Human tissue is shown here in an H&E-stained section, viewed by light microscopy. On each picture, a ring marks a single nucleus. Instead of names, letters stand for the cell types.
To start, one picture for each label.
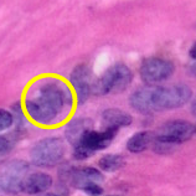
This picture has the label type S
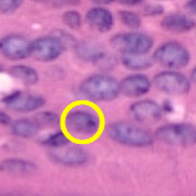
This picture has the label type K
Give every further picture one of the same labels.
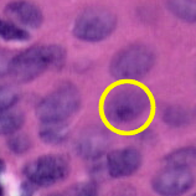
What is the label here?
type K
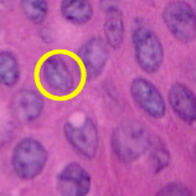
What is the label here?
type K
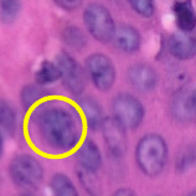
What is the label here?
type S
